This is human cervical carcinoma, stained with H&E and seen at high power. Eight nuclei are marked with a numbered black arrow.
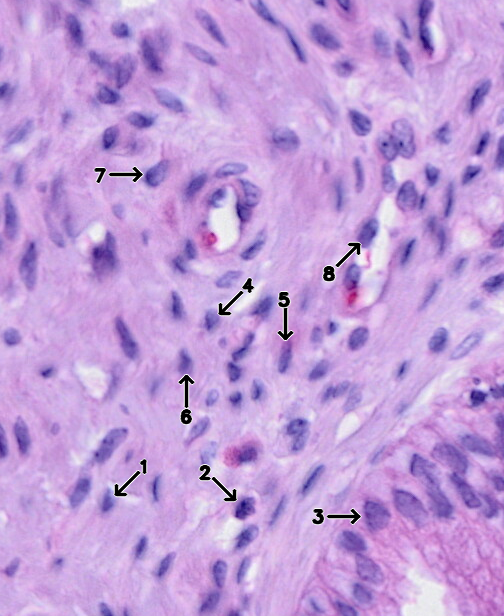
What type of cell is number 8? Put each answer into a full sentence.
The nucleus labelled 8 belongs to an endothelial cell.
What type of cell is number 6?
Nucleus 6 in this section belongs to a fibroblast.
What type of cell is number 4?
The cell marked with the number 4 is a fibroblast.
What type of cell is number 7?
The cell marked with number 7 is a fibroblast.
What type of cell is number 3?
The numeral 3 marks a secretory epithelial cell in this section.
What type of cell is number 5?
The nucleus with number 5 is that of a fibroblast.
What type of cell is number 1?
Cell 1 is classified as a fibroblast.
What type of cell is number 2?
Cell 2 should be recorded as a lymphocyte.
